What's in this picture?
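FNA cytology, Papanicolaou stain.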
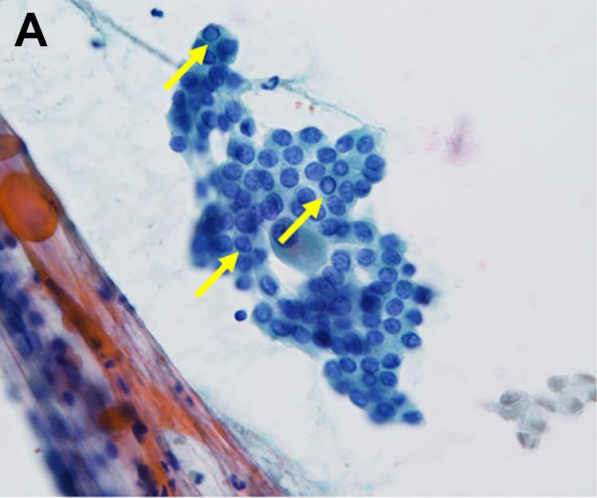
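A cohesive, crowded flat cluster of epithelial tumor cells lies on a clear background, with blue-green cytoplasm and round to oval nuclei of fairly even size. The nuclei are closely packed and some overlap. Several nuclei contain a round, paler, sharply edged area, taken as nuclear pseudoinclusions, and some show faint lengthwise lines suggesting grooves. Beside the cluster runs a streak of orange-stained material with darker cells. Nucleoli are inconspicuous.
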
